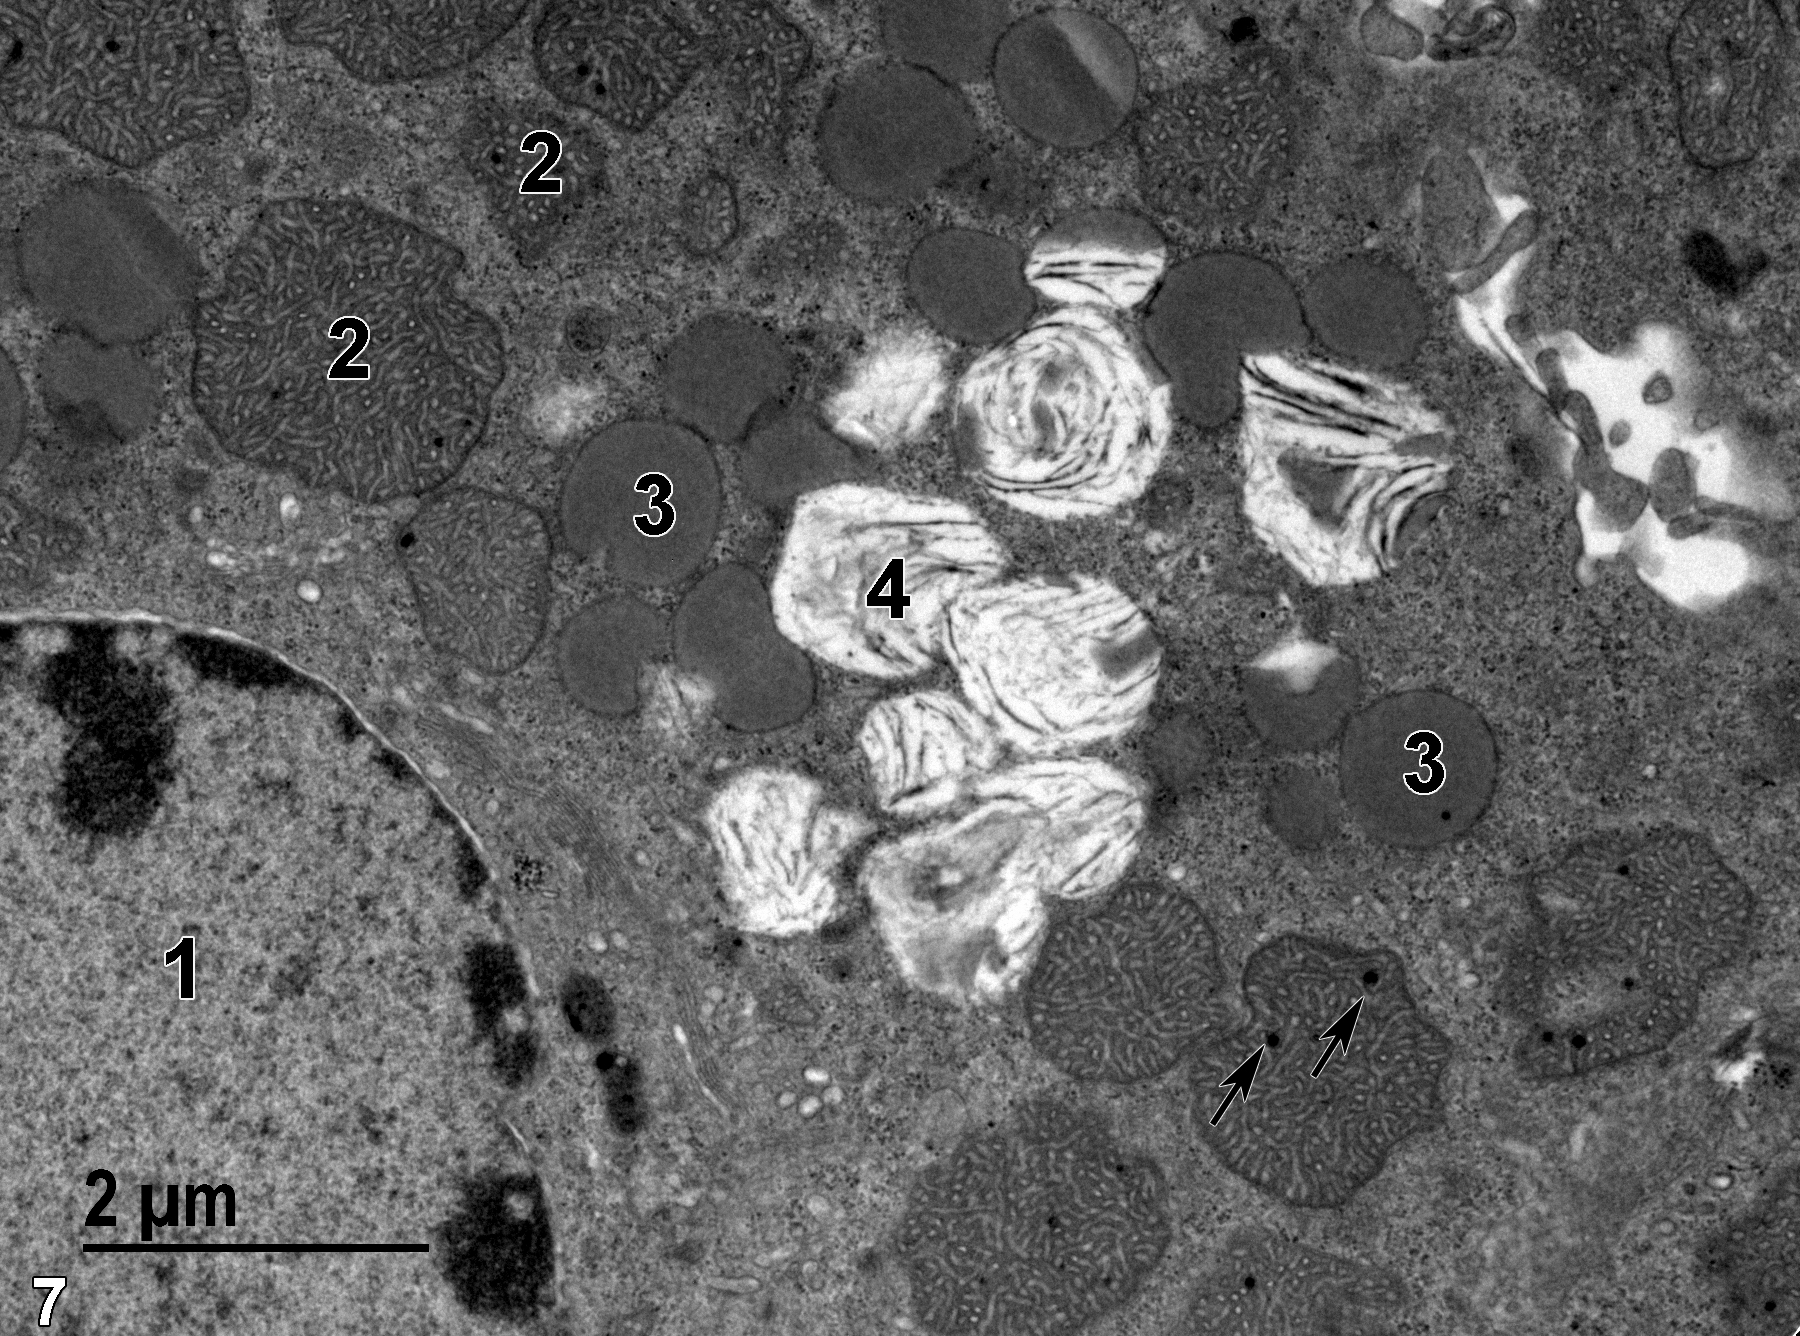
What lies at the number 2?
At 2: mitochondria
